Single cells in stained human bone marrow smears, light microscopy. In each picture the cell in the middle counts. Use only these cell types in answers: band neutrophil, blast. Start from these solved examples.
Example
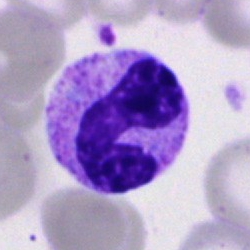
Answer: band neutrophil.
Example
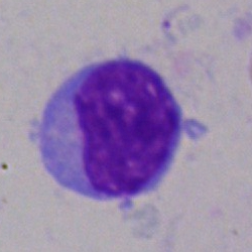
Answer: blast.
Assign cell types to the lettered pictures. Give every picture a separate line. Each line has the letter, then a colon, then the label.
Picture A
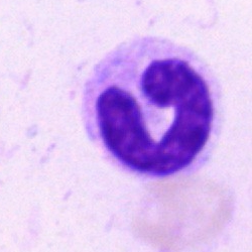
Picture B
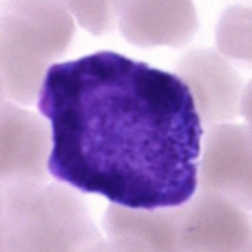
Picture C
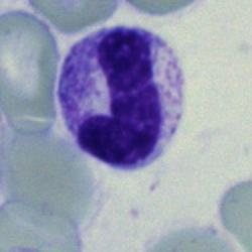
A: band neutrophil.
B: blast.
C: band neutrophil.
